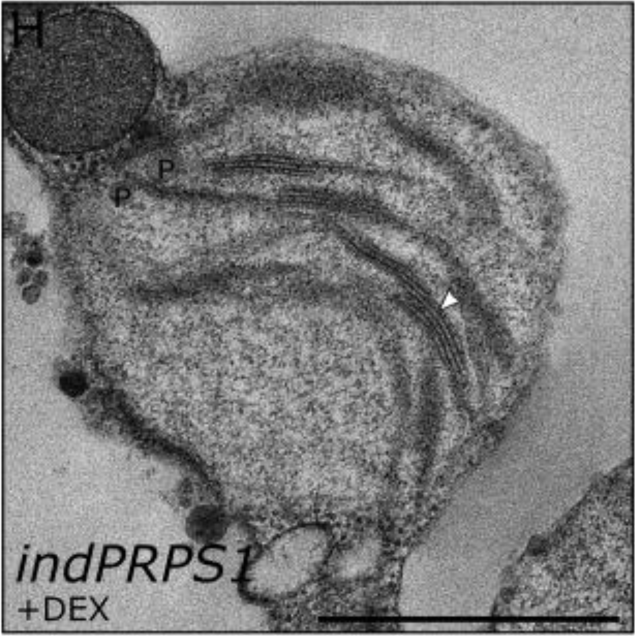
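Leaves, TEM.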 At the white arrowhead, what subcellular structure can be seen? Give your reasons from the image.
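Thylakoid membranes. The arrowhead points at a few thin, dark, paired membrane lines curving through a pale granular stroma.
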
